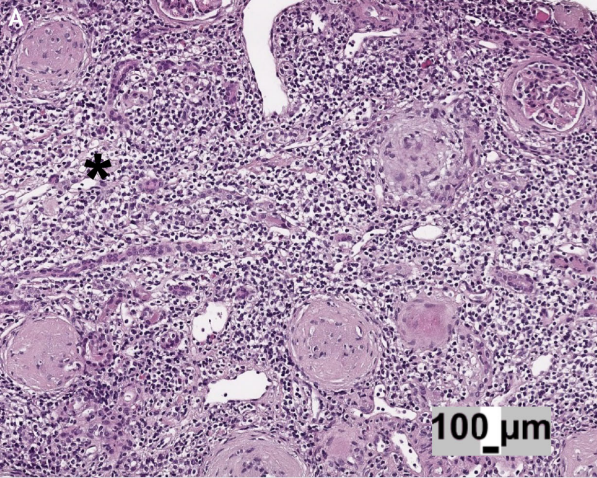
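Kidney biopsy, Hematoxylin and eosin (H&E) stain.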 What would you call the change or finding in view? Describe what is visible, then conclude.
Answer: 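Global glomerulosclerosis. Several round glomeruli are replaced by pale, eosinophilic, largely acellular matrix. No open capillary loops are seen in these rounded structures.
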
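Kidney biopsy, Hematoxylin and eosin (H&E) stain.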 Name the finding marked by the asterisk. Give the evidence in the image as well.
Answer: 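Dense sheets of small round dark nuclei fill the space between tubules and glomeruli. The infiltrating cells have scant cytoplasm.
Interstitial inflammatory infiltrate.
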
